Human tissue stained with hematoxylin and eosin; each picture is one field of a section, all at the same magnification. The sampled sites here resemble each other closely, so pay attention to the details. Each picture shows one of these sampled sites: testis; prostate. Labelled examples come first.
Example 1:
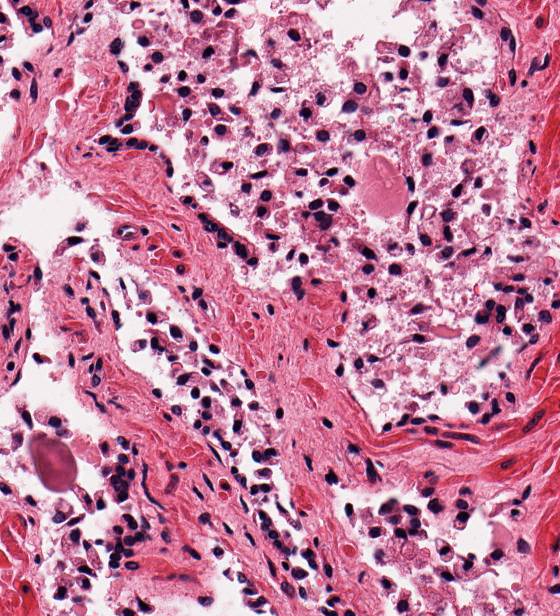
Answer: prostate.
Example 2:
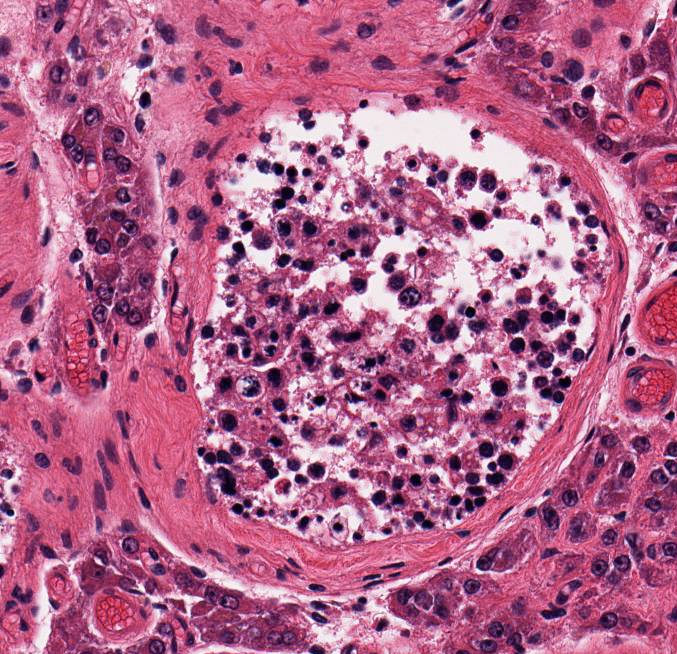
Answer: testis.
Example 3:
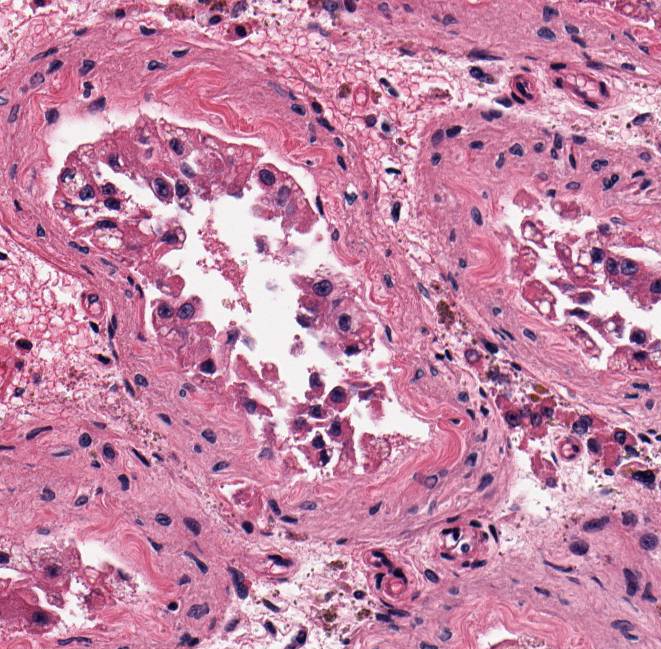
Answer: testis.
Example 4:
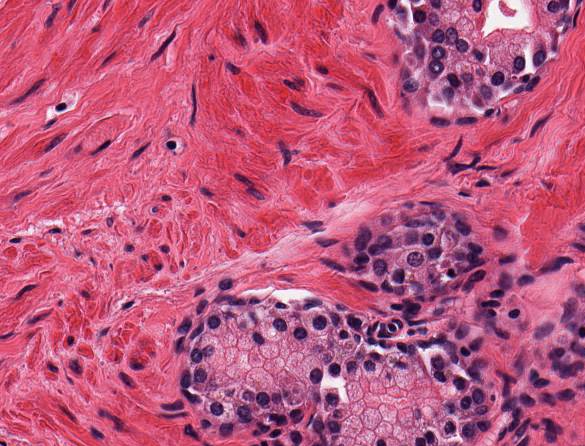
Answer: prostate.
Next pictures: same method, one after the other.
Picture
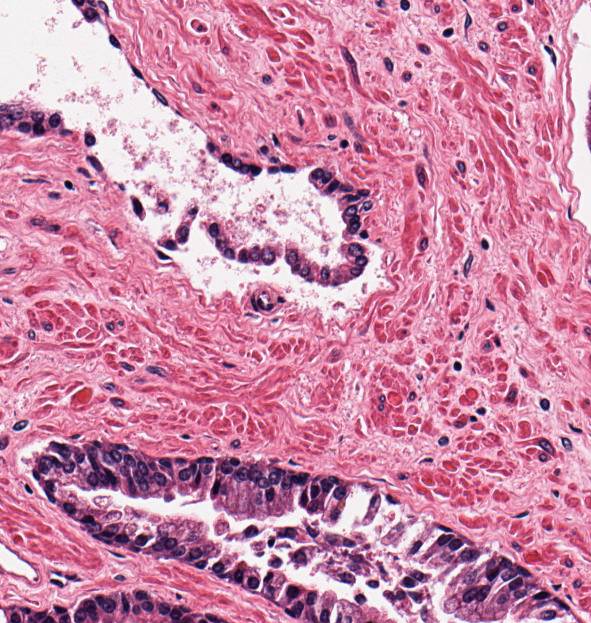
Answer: prostate.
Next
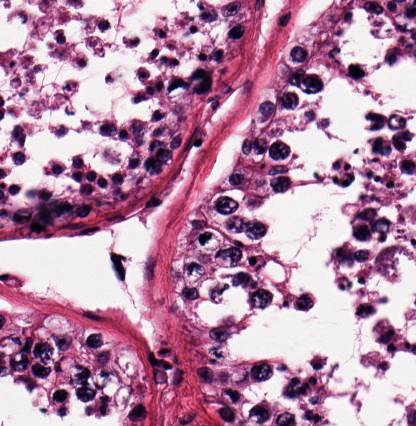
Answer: testis.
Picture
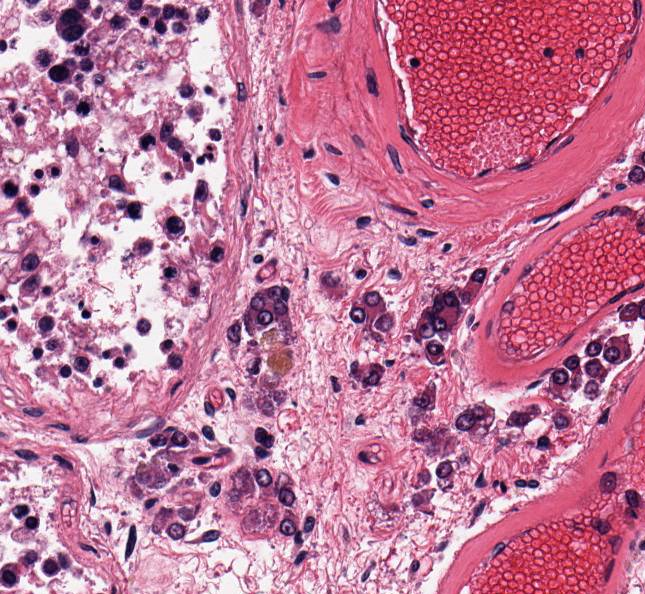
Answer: testis.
